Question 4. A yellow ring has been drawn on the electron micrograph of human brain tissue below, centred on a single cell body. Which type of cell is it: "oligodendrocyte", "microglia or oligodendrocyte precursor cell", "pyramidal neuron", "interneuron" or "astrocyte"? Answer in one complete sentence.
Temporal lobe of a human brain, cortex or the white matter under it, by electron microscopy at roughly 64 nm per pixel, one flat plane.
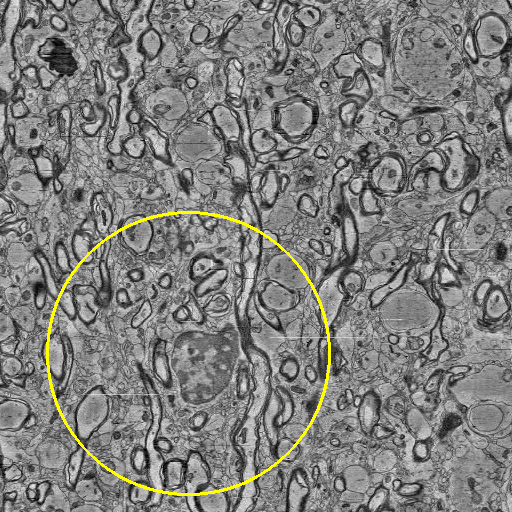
This cell body belongs to a microglial cell or oligodendrocyte precursor cell.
